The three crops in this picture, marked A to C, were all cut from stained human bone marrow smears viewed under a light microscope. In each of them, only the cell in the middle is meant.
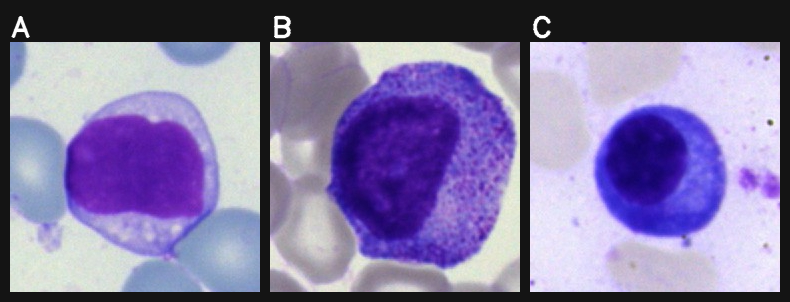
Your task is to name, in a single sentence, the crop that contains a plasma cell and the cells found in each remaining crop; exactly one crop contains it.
Crop C is read as a plasma cell, while crop A is a lymphocyte and crop B is a promyelocyte.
